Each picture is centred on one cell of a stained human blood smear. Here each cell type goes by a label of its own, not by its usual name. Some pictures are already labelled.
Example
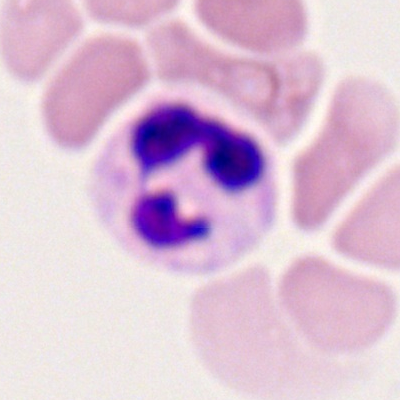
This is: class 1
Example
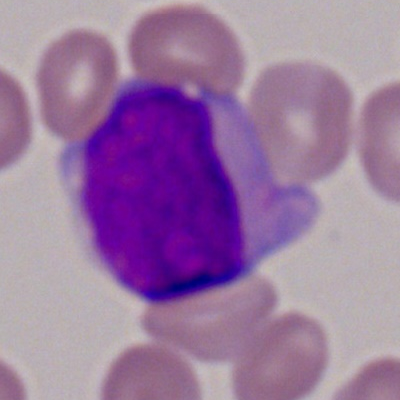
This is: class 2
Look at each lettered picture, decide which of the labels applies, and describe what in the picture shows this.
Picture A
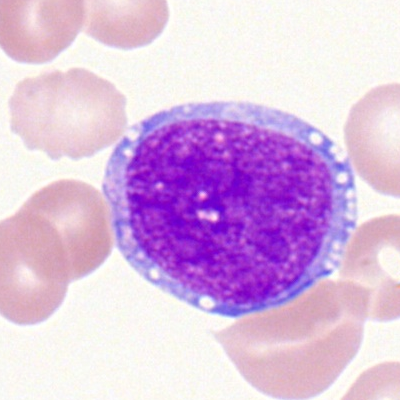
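class 2: The cytoplasm forms only a narrow rim around the nucleus.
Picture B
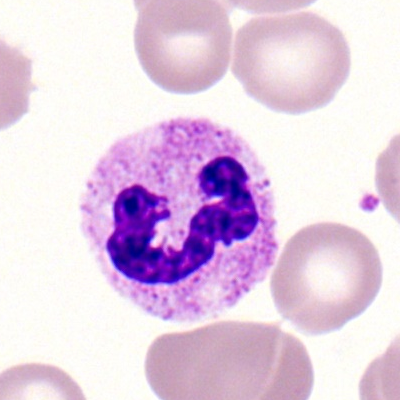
class 1: The cytoplasm is abundant and pale pinkish-lilac.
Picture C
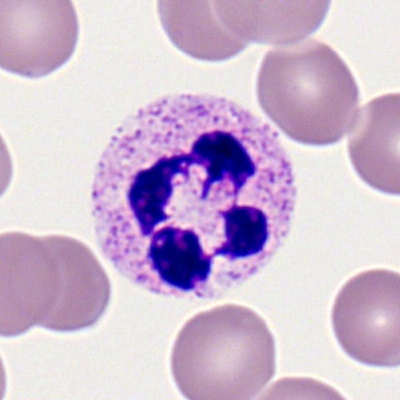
class 1: The cytoplasm is abundant and pale pinkish-lilac.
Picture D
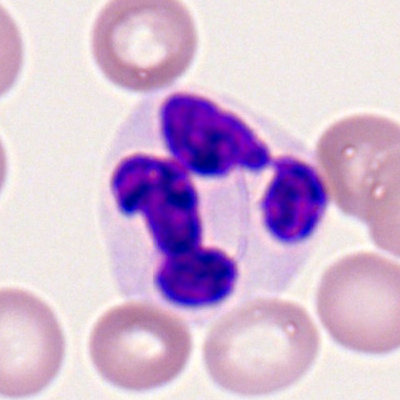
class 1: The nucleus is divided into more than two separate lobes.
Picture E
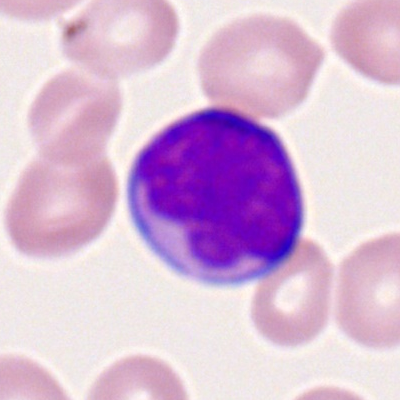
class 2: The nucleus fills most of the cell.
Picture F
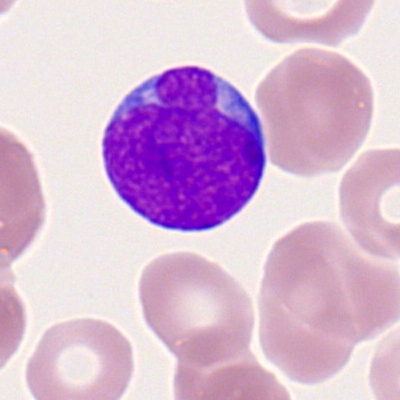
class 2: The cytoplasm is blue.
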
